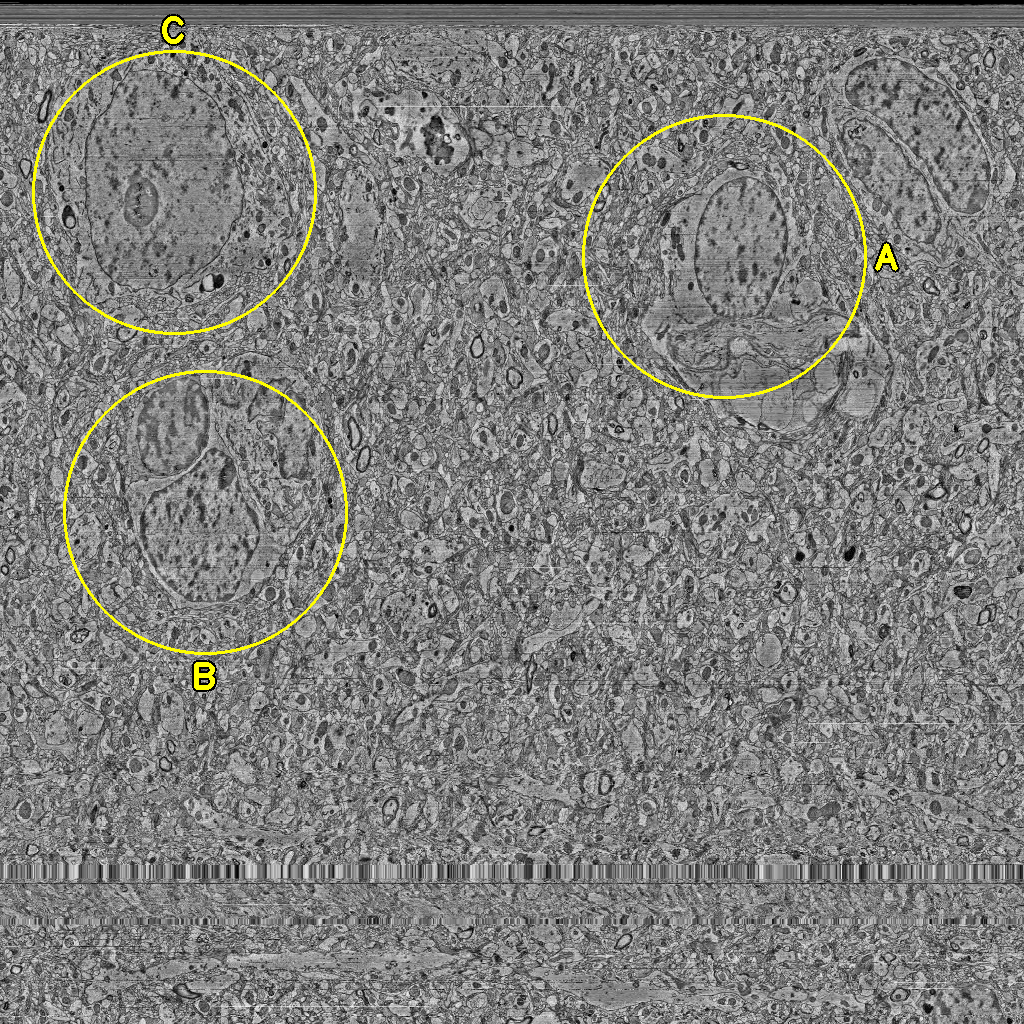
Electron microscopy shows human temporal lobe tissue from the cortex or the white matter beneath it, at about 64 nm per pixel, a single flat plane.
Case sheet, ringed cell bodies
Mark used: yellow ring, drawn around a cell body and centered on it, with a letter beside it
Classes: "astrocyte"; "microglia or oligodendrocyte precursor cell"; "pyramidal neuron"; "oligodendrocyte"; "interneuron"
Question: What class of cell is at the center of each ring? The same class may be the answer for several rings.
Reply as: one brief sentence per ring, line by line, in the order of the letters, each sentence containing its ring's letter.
Ring A has an astrocyte at its center.
Ring B has a microglial cell or oligodendrocyte precursor cell at its center.
Ring C has a pyramidal neuron at its center.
